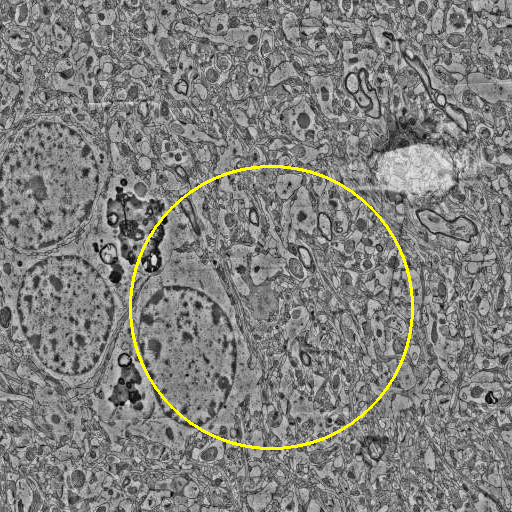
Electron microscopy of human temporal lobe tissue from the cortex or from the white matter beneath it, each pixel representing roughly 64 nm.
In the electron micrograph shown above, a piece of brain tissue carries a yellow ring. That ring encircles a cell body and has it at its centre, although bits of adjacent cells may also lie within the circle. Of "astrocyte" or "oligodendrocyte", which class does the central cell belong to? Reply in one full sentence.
The cell body at the centre of the yellow ring belongs to an oligodendrocyte.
